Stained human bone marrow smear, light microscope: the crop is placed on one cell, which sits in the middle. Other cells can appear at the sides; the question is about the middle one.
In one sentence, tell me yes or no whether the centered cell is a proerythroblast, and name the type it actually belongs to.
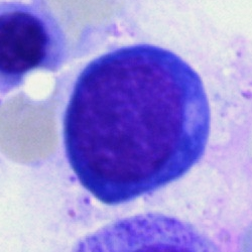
Yes, the one cell at the centre is a proerythroblast.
